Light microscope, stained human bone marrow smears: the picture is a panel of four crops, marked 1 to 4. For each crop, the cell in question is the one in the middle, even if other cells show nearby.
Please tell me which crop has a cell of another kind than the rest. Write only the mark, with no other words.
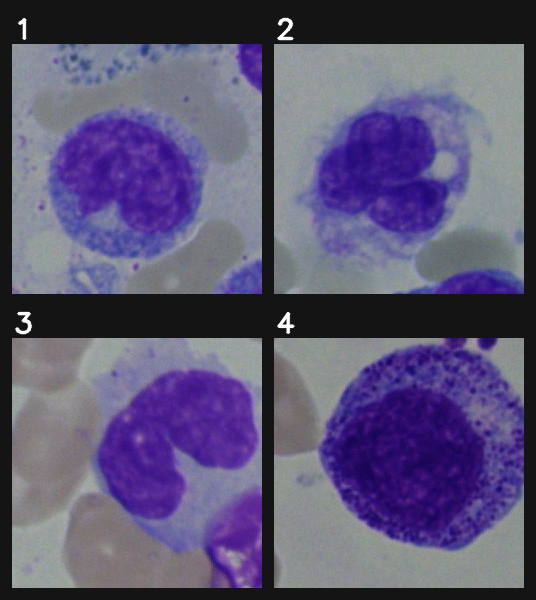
4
